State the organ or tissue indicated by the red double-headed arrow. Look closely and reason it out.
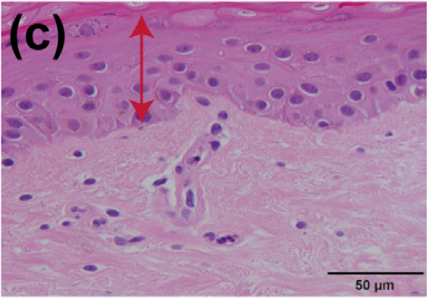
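The arrow spans several rows of polygonal cells with round purple nuclei. A thin bright pink anucleate layer lies on top. Below lies pale pink fibrous tissue with scattered nuclei.
Conclusion: viable epidermal cell layer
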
